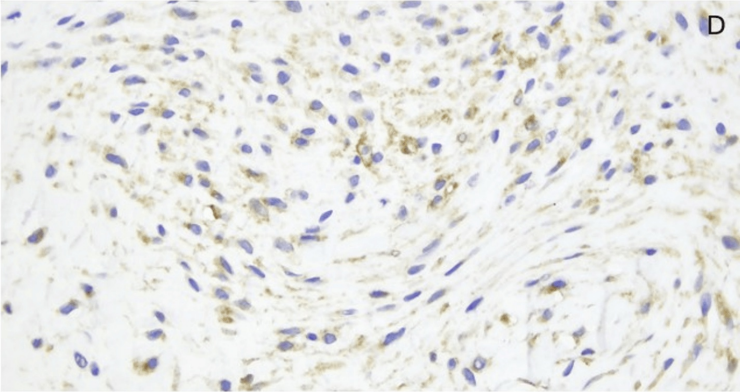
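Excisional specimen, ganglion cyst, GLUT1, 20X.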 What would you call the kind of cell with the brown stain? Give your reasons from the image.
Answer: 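Brown granular stain around oval to spindle nuclei. Blue nuclei scattered in a pale loose background. That points to this answer: stromal cells.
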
